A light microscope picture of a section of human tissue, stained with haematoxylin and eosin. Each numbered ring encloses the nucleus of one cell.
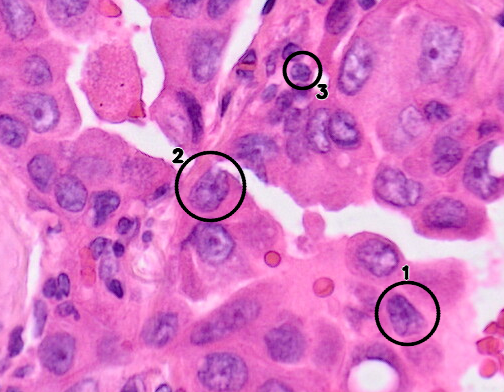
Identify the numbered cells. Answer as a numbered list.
1. carcinoma cell
2. carcinoma cell
3. lymphocyte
